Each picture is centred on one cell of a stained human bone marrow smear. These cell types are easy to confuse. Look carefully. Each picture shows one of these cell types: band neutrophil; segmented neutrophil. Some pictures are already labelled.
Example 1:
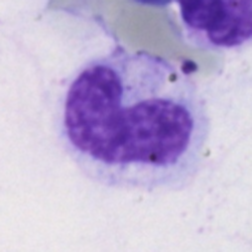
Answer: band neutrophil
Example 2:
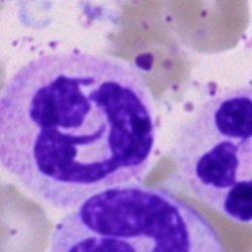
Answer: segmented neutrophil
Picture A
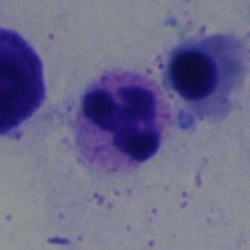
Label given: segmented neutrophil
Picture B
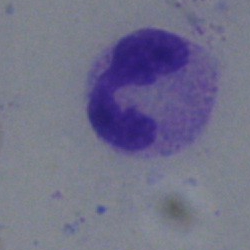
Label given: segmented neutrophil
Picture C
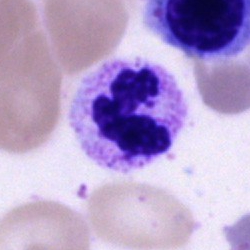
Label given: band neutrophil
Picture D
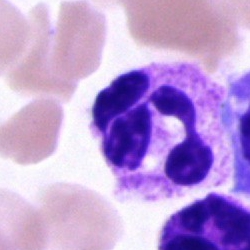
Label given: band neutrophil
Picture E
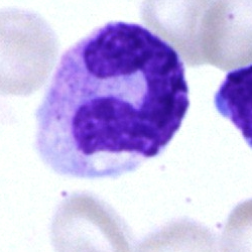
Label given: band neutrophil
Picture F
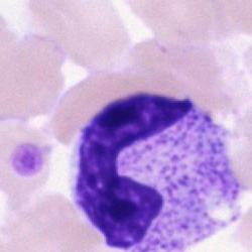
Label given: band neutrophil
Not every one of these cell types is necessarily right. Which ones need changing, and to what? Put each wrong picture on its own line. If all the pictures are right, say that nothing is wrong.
C: change band neutrophil to segmented neutrophil
D: change band neutrophil to segmented neutrophil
